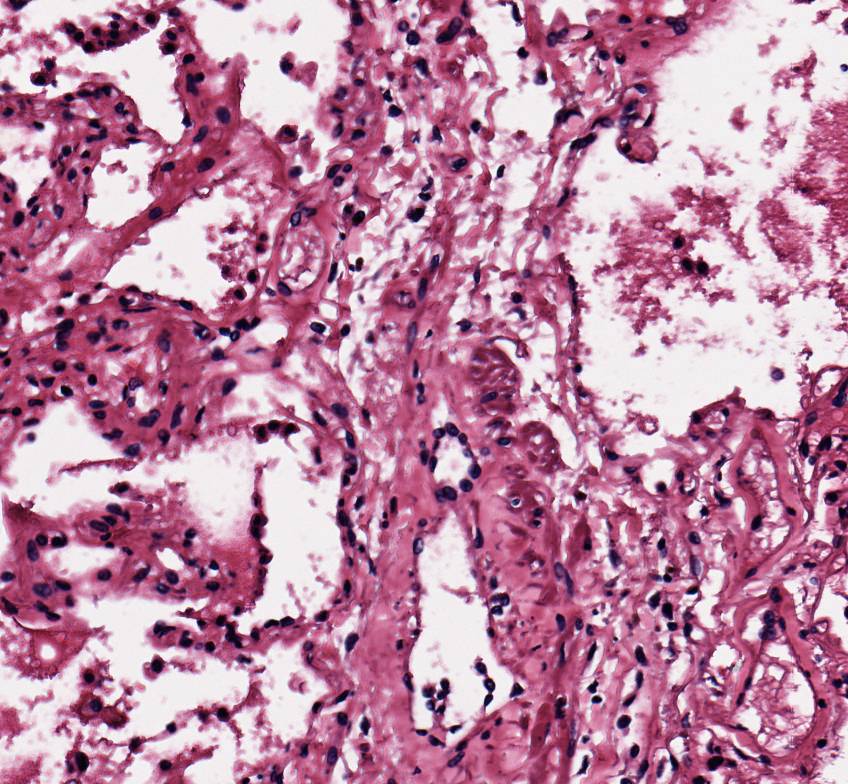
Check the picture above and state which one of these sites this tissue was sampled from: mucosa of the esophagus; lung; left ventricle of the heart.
lung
